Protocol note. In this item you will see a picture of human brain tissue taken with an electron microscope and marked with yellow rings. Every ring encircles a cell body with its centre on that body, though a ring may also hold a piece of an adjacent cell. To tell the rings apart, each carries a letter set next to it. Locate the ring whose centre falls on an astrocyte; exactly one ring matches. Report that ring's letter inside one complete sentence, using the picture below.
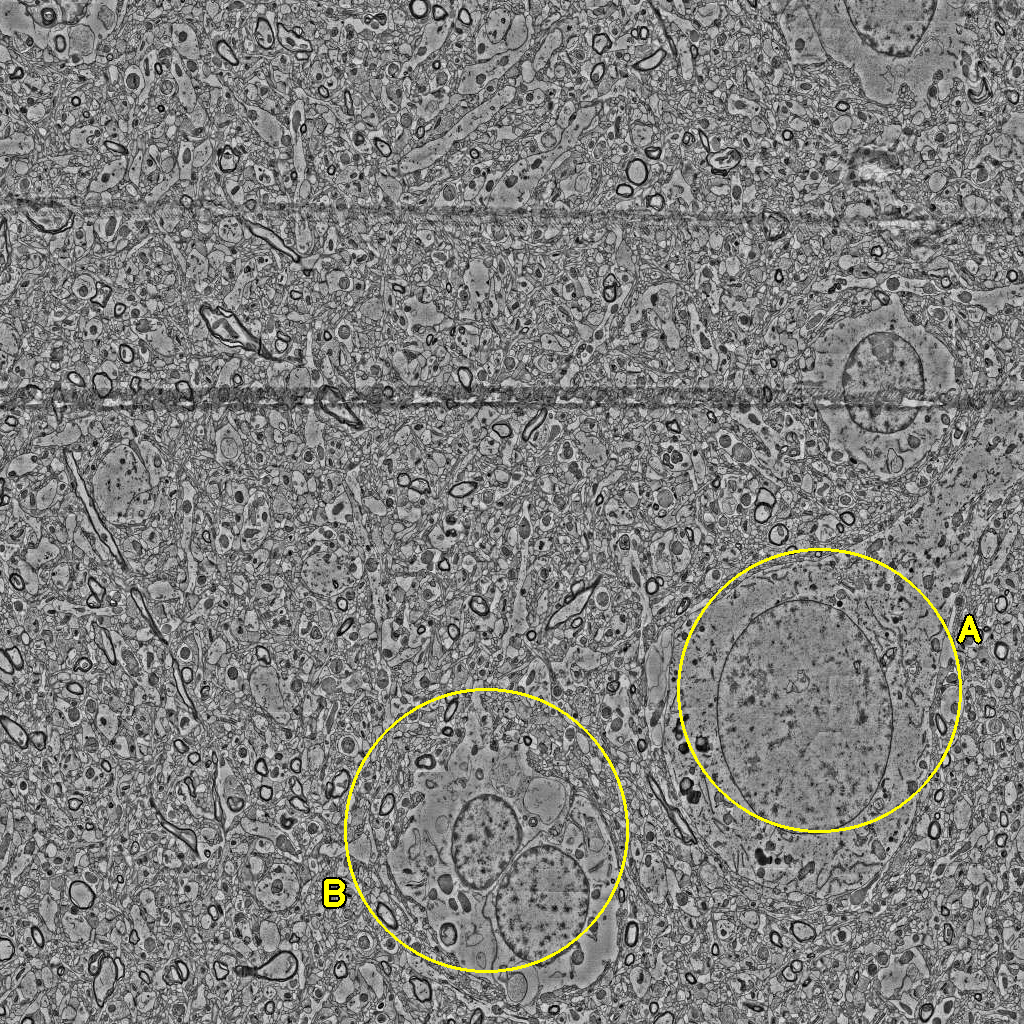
My answer is B, the ring whose centre falls on that kind of cell.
